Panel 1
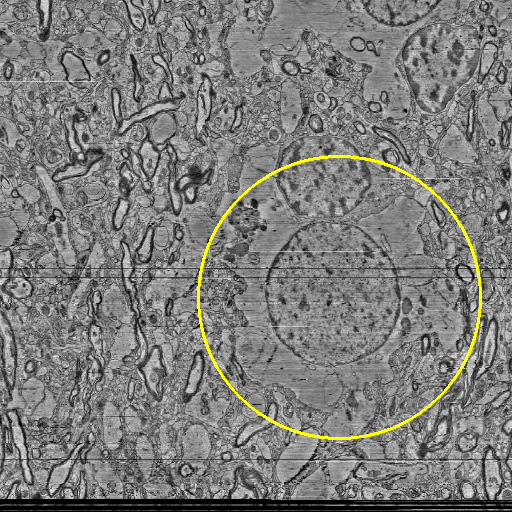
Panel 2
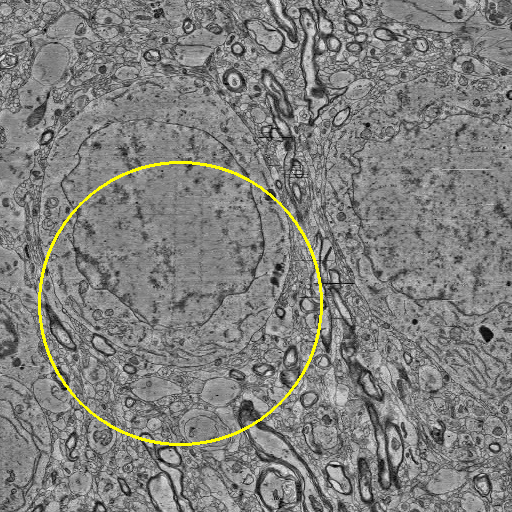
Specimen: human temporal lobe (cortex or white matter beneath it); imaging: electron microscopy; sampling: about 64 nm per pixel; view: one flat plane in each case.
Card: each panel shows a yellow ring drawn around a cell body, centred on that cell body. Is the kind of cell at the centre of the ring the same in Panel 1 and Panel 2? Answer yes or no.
no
